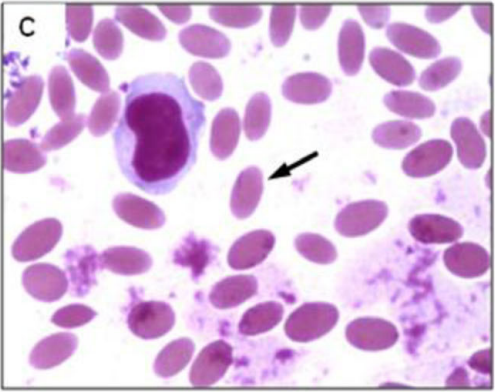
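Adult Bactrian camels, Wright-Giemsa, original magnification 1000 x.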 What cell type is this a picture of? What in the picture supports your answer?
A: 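A large white cell, much bigger than the red cells. Kidney-shaped purple nucleus. Ample pale grey-blue cytoplasm. The answer: Monocytes.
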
